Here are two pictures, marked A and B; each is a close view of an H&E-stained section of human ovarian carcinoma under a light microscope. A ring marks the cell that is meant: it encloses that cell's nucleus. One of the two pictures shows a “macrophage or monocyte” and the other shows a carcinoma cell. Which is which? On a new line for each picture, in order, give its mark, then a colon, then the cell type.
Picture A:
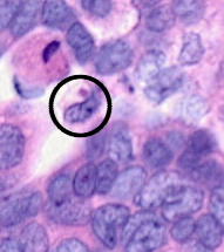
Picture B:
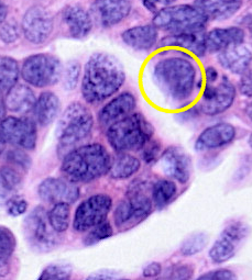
A: macrophage or monocyte
B: carcinoma cell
